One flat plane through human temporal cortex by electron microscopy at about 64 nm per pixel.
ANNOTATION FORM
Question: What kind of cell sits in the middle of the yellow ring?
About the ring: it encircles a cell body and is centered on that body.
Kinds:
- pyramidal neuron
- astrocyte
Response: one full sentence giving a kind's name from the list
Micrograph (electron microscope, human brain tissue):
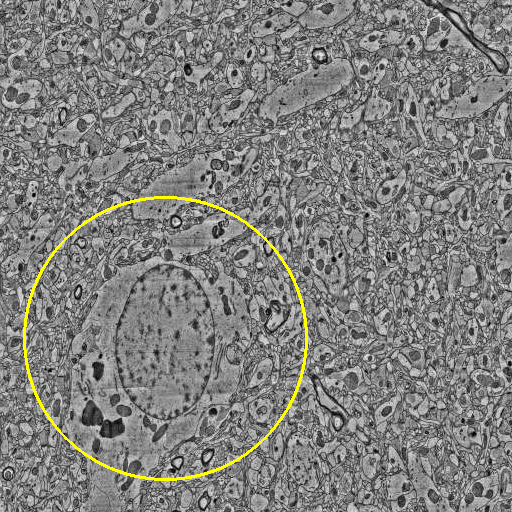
The kind of cell found at the center of the yellow ring in the micrograph is an astrocyte.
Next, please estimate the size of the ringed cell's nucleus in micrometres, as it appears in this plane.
Roughly 10 micrometres long and 6 micrometres wide; in this plane the nucleus is clearly longer than it is wide.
